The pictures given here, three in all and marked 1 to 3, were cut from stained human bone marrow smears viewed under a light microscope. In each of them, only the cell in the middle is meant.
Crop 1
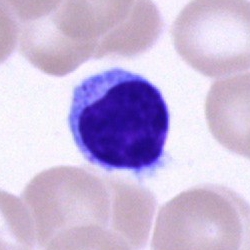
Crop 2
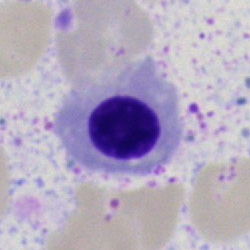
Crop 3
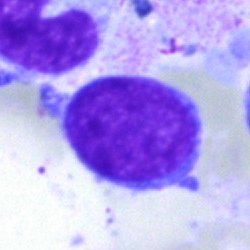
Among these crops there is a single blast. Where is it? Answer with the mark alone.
3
